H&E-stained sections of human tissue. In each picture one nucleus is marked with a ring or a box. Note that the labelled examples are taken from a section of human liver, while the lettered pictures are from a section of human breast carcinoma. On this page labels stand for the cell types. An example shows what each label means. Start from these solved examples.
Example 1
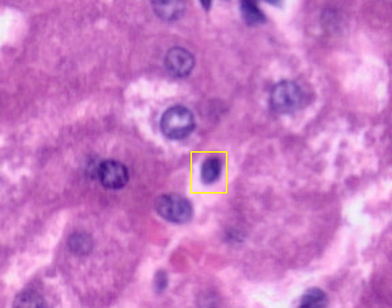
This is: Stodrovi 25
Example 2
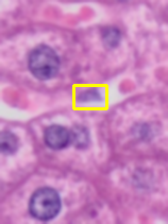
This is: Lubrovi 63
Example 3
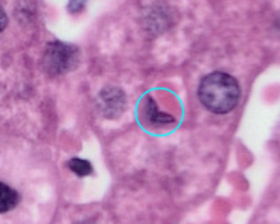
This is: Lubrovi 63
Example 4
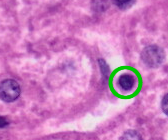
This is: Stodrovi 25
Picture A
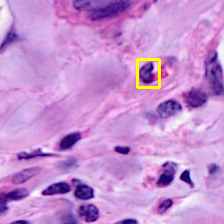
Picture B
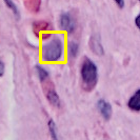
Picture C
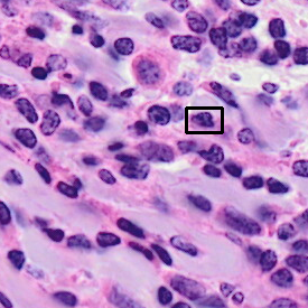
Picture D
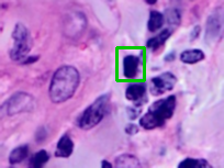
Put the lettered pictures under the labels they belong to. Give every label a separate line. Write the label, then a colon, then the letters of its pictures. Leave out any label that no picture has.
Stodrovi 25: C, D
Lubrovi 63: A, B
